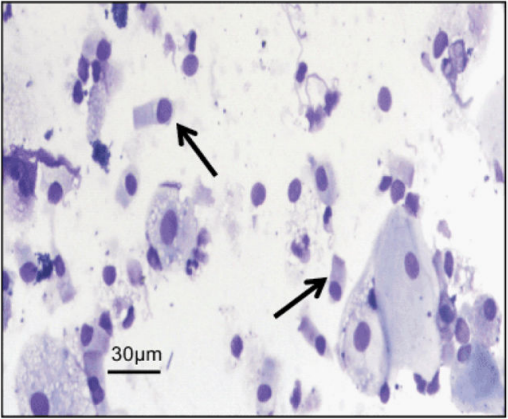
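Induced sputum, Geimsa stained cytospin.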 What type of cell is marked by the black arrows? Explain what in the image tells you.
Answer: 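The marked cells are columnar, with an elongated pale cytoplasm. Each marked cell has a round purple nucleus at one end. They are distinct from the large flat squamous cells and small round cells nearby.
Hence: bronchial epithelial cells.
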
